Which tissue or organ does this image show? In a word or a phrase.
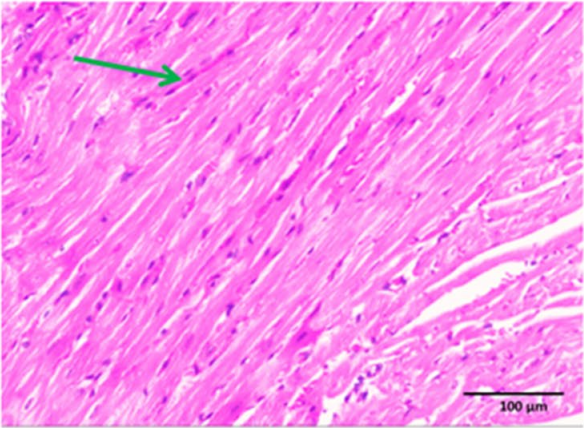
striated cardiac muscle fibres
